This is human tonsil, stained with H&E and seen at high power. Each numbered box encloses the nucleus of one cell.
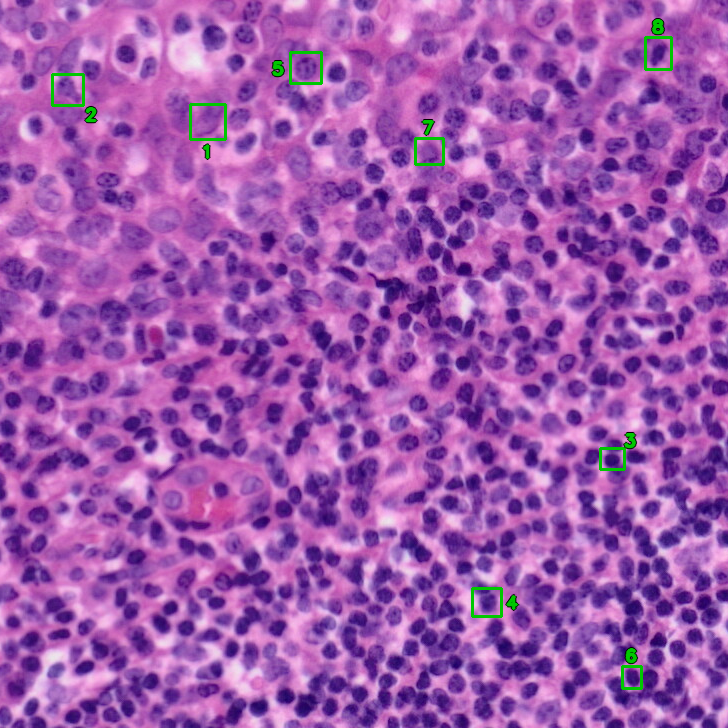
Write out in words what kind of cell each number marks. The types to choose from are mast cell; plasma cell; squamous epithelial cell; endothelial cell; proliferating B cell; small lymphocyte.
Cells 1, 2 and 8 are squamous epithelial cells. Cells 3, 4 and 6 are small lymphocytes. Cells 5 and 7 are plasma cells.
